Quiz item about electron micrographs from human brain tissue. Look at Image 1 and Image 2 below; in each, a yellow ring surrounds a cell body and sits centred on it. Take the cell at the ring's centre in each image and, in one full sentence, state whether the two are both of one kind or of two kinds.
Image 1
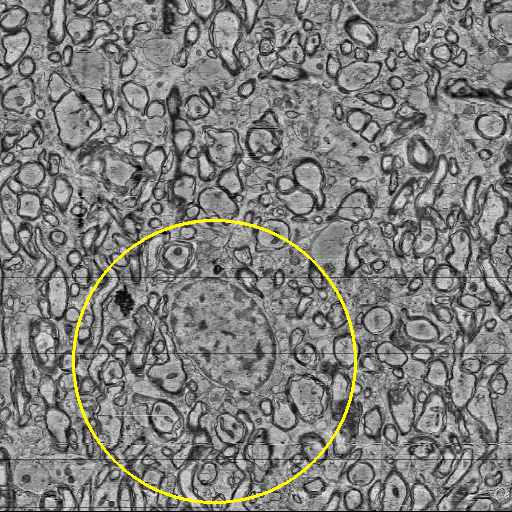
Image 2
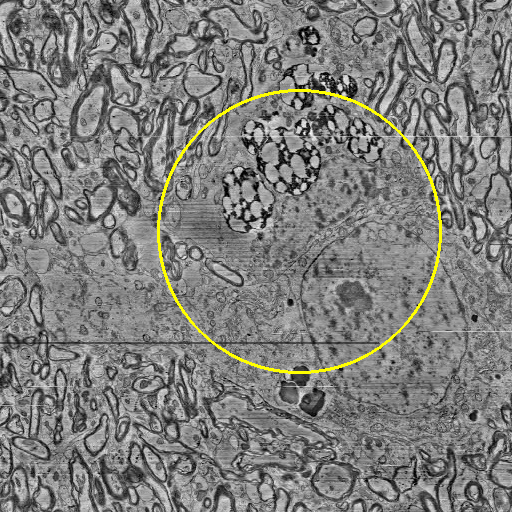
In Image 1 and Image 2, the cells at the ring centres are of two kinds.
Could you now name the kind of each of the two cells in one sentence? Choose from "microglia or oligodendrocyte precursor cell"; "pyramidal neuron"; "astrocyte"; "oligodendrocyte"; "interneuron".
The first ring encloses an oligodendrocyte; the second ring encloses an astrocyte.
